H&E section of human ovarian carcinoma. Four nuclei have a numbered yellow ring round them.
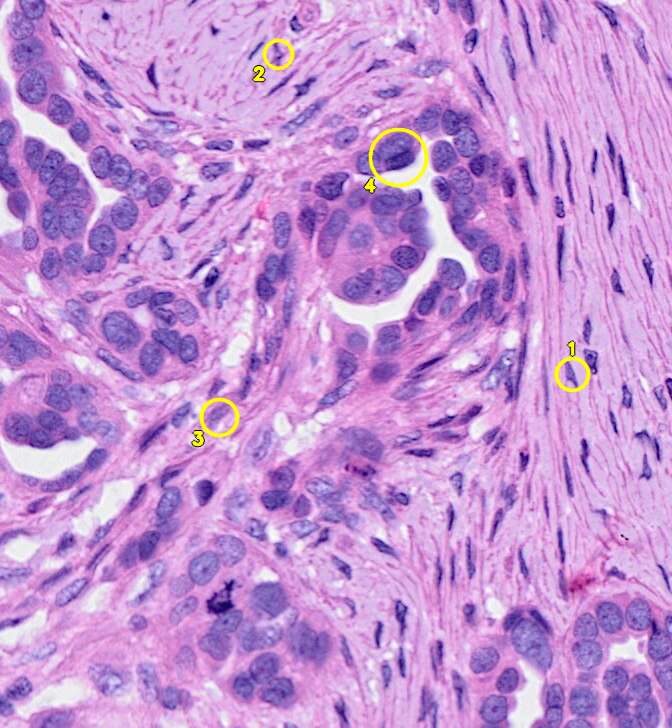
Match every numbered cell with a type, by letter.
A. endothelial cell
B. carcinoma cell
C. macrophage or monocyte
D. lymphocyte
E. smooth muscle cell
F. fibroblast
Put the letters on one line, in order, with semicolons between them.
F; F; F; B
